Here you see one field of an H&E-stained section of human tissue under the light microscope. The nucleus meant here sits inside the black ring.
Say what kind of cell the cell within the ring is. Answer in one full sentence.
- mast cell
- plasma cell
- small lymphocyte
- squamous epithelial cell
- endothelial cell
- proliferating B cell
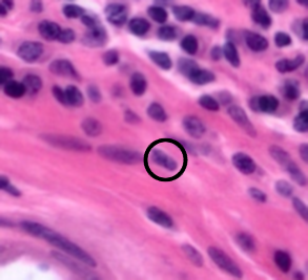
Placed in its cell category, the cell within the ring is a mast cell.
